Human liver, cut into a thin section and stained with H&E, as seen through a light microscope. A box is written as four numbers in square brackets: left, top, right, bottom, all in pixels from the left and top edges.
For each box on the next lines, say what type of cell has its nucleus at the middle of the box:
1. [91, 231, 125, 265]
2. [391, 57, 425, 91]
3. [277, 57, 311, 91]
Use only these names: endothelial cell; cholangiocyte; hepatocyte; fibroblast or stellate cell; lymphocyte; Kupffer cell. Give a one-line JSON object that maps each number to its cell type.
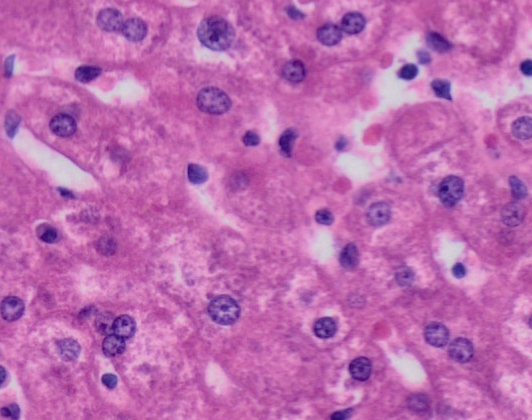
{"1": "hepatocyte", "2": "lymphocyte", "3": "hepatocyte"}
